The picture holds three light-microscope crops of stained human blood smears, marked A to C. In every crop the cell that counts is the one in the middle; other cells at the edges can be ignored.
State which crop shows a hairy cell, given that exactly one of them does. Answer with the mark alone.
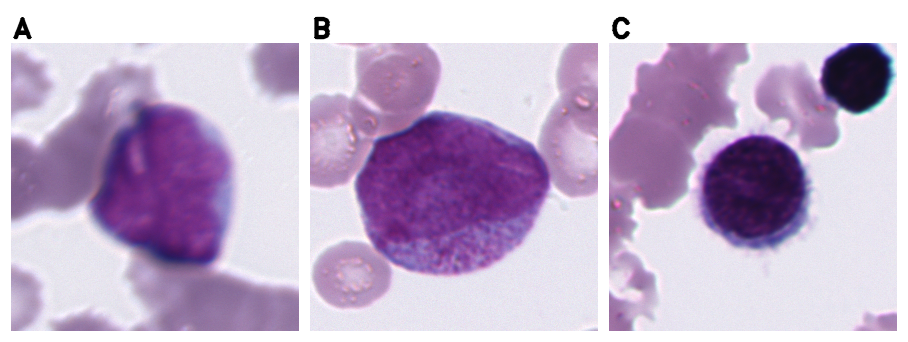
C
